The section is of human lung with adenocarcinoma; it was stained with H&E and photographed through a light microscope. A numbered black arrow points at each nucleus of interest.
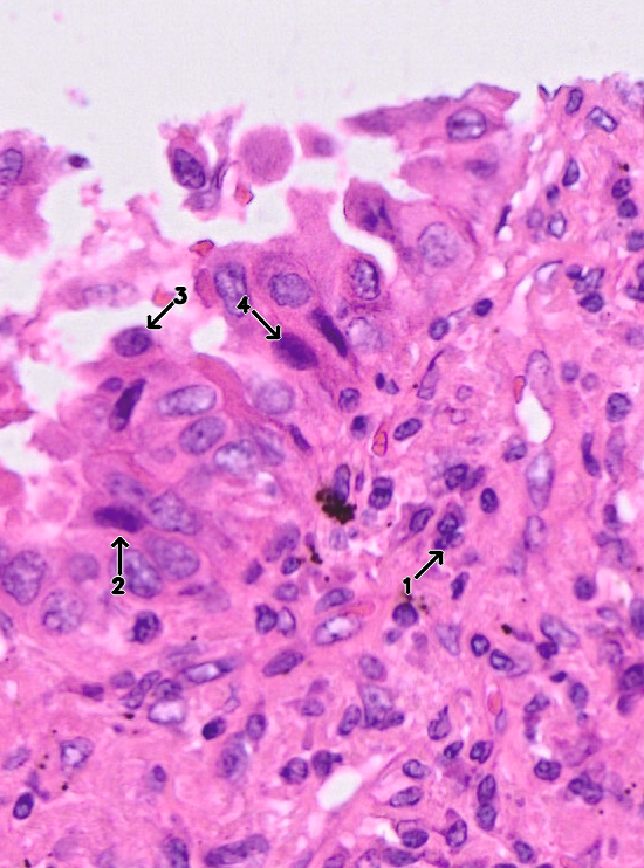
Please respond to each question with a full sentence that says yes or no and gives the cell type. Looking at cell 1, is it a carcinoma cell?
No, cell 1 counts as a plasma cell rather than as a carcinoma cell.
